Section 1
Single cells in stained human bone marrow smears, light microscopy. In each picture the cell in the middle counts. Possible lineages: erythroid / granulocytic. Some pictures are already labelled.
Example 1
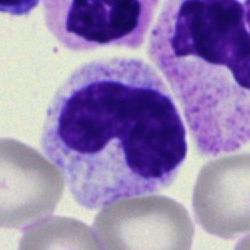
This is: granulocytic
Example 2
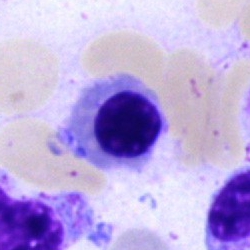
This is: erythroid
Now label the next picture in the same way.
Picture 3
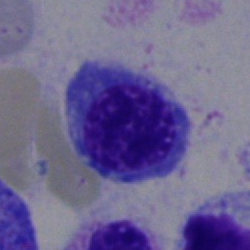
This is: erythroid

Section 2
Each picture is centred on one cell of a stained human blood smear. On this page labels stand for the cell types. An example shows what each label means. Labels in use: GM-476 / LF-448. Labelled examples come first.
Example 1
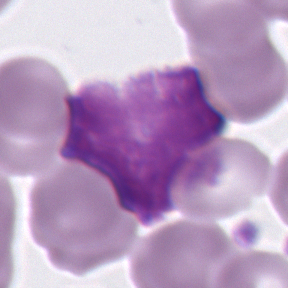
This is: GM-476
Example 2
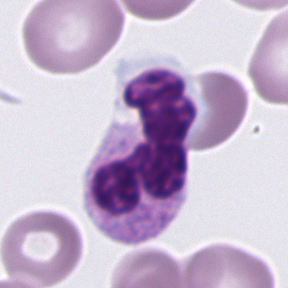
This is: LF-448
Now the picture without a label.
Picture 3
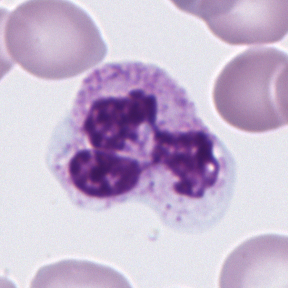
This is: LF-448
